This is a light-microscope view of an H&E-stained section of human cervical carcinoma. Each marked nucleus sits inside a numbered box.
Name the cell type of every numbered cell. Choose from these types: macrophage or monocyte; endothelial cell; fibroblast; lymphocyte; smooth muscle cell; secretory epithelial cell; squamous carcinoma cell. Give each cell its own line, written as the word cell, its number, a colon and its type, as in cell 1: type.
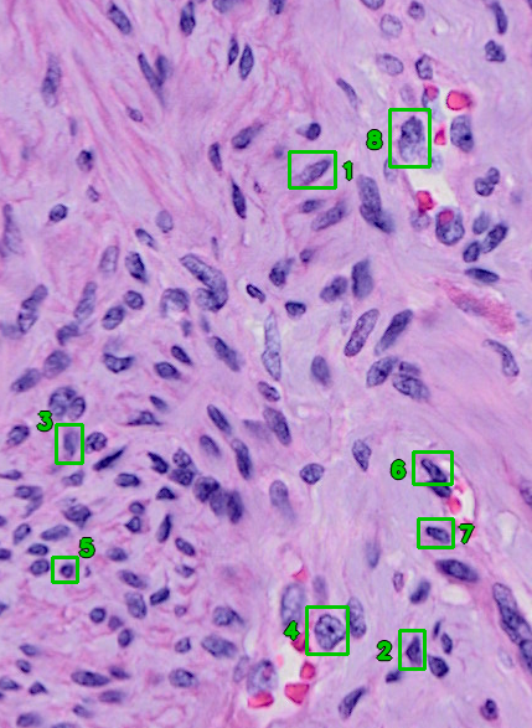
cell 1: smooth muscle cell
cell 2: fibroblast
cell 3: smooth muscle cell
cell 4: endothelial cell
cell 5: smooth muscle cell
cell 6: endothelial cell
cell 7: endothelial cell
cell 8: endothelial cell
